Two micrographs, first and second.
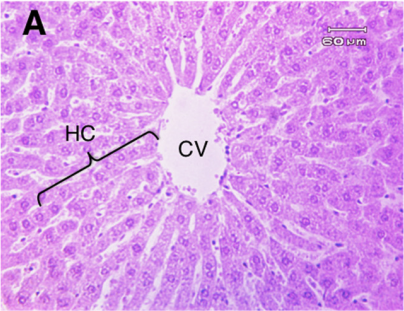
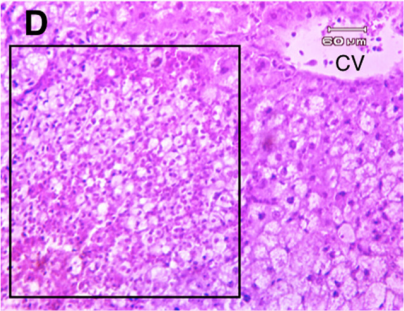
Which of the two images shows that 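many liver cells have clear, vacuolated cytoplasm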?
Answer: The second image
